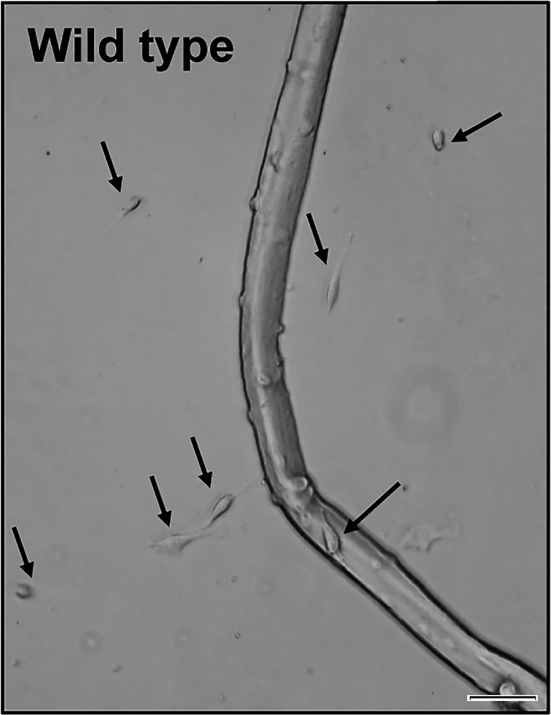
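A single isolated skeletal muscle myofiber with satellite cells that have left it and lie on the glass, seen unstained by interference contrast. The myofiber is a long, thick, unbranched cylinder curving through the field, with small bulges along its surface. Small single cells lie scattered on the glass at varying distances from the fiber. Several are elongated or spindle-shaped with thin trailing processes, suggesting spreading and movement, while others are small and rounded. One cell lies flat on the fiber surface itself.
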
